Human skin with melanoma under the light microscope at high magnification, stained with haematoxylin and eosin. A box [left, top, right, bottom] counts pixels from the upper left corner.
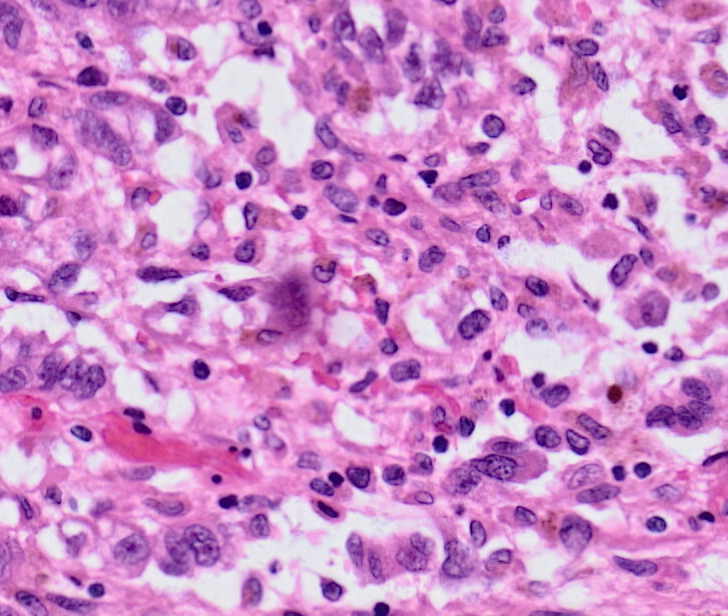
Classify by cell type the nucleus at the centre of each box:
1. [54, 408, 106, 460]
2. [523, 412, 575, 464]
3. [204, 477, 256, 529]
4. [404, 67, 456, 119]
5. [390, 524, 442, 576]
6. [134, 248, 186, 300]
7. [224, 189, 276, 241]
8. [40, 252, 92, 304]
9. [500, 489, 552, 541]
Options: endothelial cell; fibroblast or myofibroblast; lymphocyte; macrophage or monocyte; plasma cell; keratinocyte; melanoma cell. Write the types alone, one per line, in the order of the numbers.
lymphocyte
macrophage or monocyte
lymphocyte
melanoma cell
melanoma cell
melanoma cell
macrophage or monocyte
melanoma cell
macrophage or monocyte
